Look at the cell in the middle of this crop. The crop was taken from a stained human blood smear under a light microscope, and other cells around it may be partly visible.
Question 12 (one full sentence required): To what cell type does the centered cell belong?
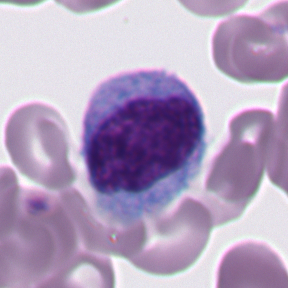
The cell that lies at the centre of the crop is a monocyte.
